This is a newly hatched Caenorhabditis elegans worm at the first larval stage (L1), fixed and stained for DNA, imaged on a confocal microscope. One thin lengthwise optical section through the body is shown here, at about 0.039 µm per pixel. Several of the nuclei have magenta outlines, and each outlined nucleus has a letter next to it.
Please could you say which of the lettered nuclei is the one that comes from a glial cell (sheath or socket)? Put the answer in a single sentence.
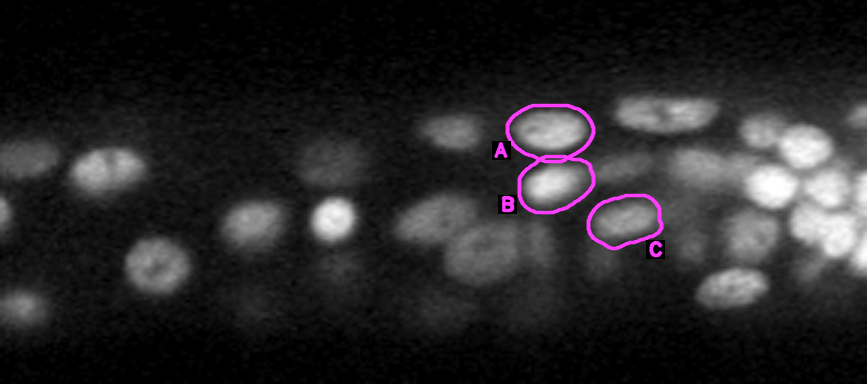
It is B that belongs to a glial cell (sheath or socket).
